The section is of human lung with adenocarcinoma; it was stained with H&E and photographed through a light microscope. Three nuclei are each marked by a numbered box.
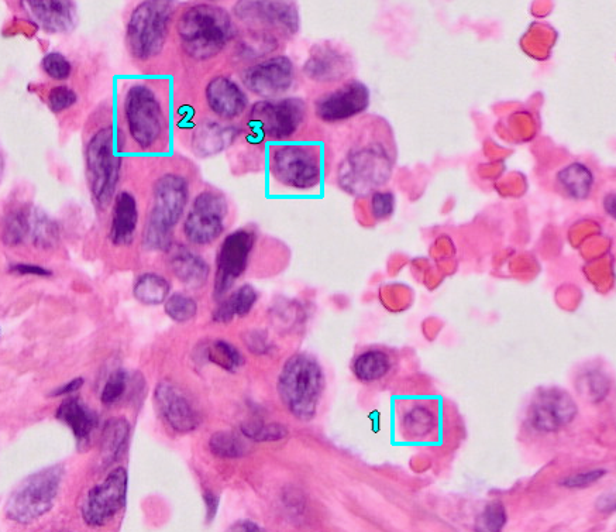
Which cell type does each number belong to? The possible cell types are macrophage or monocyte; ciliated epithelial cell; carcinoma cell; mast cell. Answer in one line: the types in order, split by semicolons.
macrophage or monocyte; carcinoma cell; carcinoma cell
